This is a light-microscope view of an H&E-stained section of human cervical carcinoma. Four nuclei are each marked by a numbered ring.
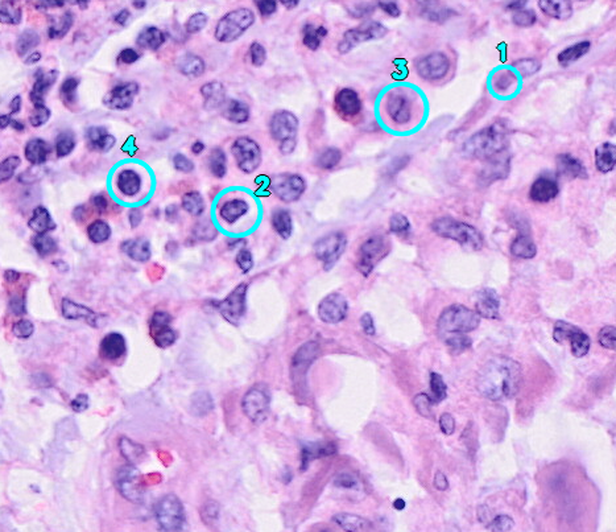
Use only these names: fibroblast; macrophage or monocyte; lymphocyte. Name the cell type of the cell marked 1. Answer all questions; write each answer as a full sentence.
Numbered cell 1 is a fibroblast in this tissue section.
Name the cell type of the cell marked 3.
The cell that bears the number 3 is a macrophage or monocyte.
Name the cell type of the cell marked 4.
Cell 4 is classified as a lymphocyte.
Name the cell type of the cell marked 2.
The cell tagged with 2 in this tissue section is a lymphocyte.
